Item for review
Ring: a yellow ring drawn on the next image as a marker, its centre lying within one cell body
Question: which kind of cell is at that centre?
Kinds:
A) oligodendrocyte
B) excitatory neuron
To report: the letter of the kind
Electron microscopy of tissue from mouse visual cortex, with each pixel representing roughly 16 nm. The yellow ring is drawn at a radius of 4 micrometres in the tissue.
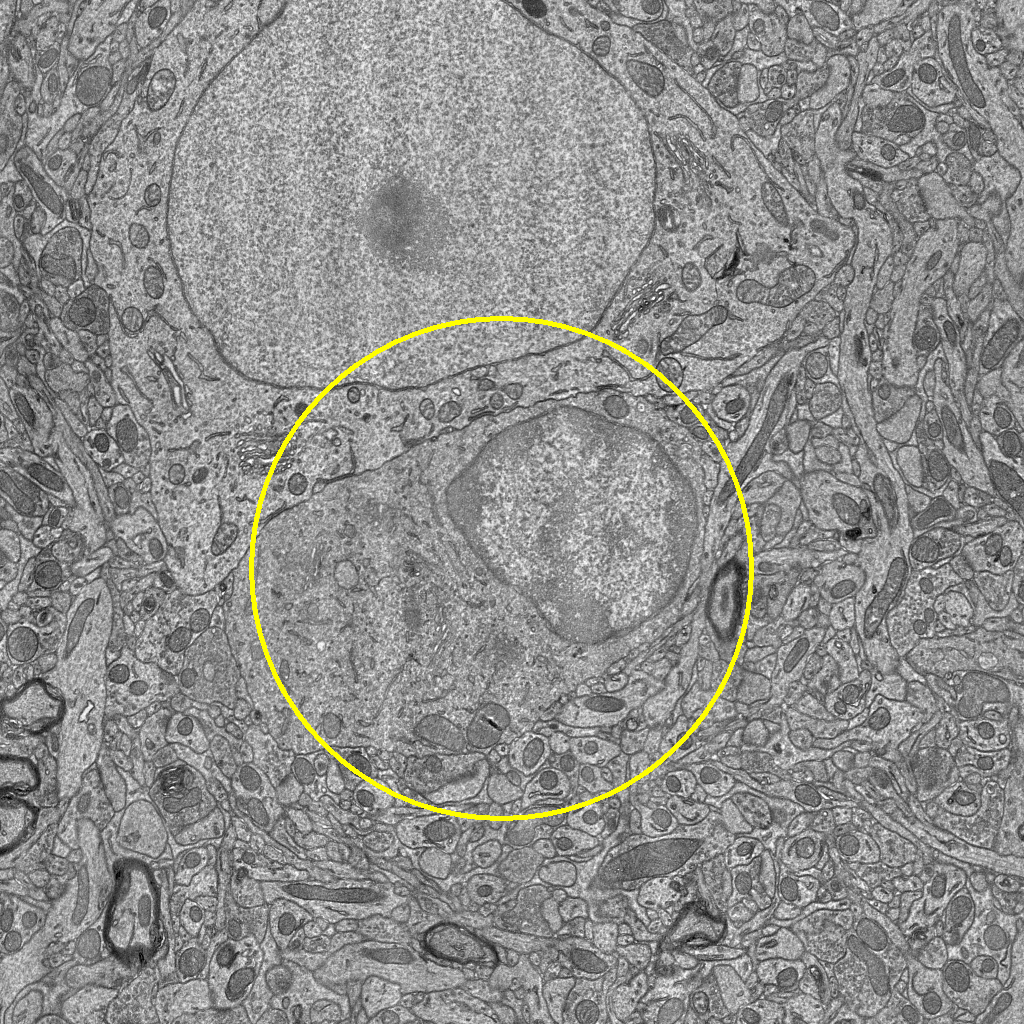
A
